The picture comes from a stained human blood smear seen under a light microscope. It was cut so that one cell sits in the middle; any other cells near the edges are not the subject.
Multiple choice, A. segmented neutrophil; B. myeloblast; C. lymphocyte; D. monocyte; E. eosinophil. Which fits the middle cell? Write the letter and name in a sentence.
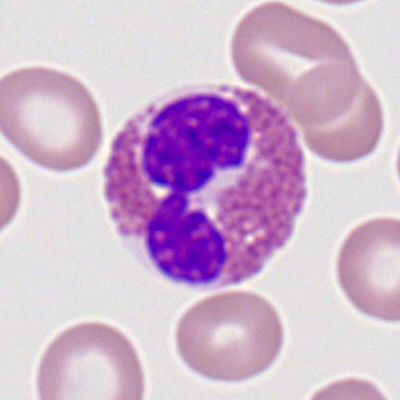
Option E is correct in naming the middle cell an eosinophil.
